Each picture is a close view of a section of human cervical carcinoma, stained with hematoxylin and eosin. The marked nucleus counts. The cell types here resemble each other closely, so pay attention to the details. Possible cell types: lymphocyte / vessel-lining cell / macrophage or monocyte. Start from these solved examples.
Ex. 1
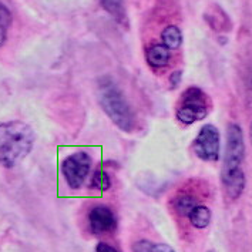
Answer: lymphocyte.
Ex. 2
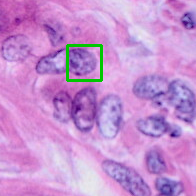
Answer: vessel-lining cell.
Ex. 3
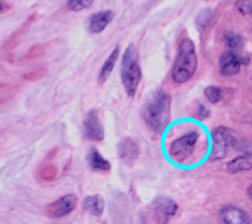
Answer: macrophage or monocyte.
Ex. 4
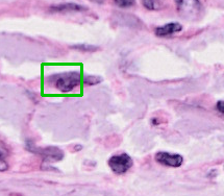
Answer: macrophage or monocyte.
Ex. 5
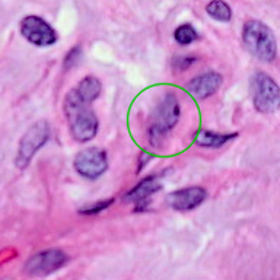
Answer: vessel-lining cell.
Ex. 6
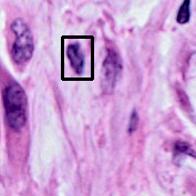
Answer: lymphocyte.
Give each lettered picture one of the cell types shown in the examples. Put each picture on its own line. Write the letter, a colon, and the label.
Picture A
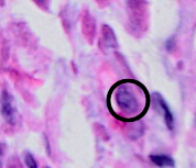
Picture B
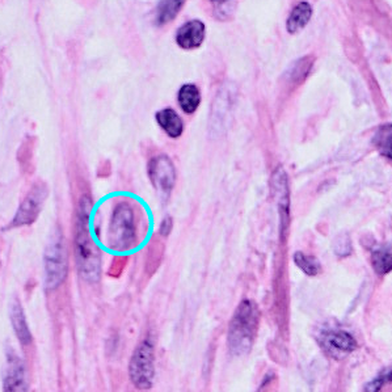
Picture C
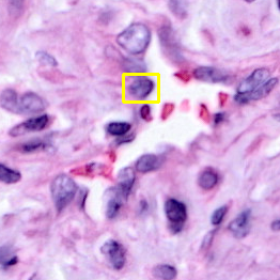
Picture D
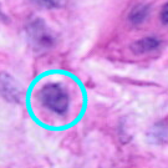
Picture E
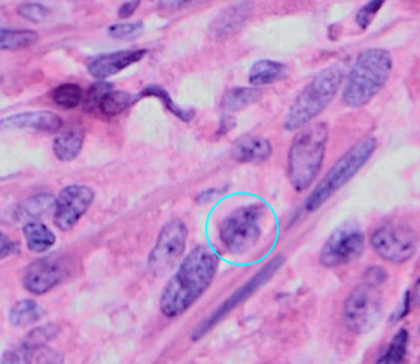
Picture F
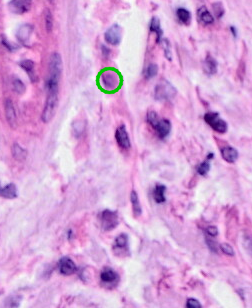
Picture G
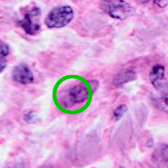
A: vessel-lining cell.
B: vessel-lining cell.
C: vessel-lining cell.
D: macrophage or monocyte.
E: macrophage or monocyte.
F: macrophage or monocyte.
G: macrophage or monocyte.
